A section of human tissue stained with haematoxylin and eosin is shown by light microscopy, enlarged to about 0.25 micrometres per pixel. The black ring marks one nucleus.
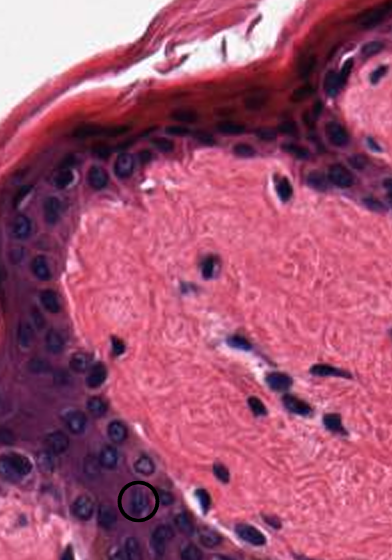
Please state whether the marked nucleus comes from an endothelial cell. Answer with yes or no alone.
no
